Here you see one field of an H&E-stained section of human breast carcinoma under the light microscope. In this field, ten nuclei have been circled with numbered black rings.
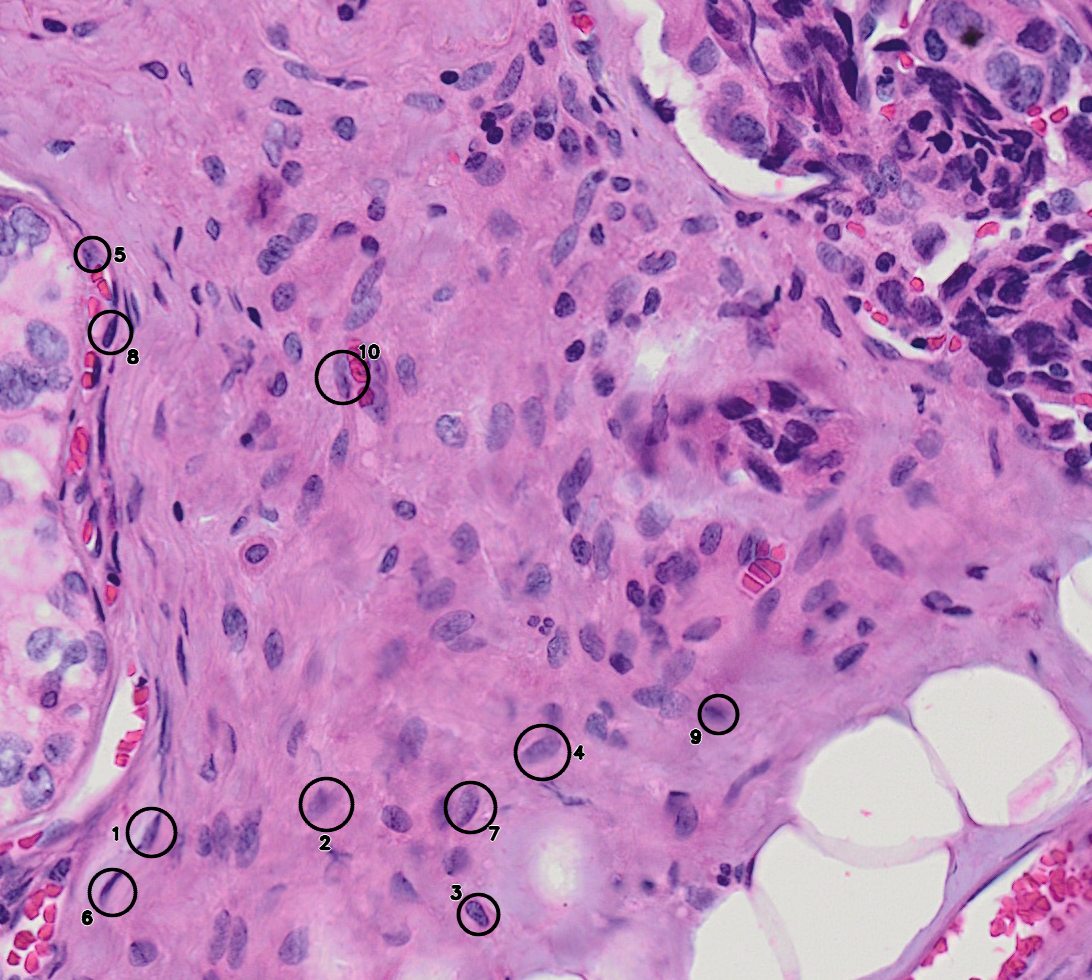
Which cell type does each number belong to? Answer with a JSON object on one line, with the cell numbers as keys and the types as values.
{"1": "fibroblast", "2": "fibroblast", "3": "mast cell", "4": "fibroblast", "5": "endothelial cell", "6": "fibroblast", "7": "fibroblast", "8": "endothelial cell", "9": "fibroblast", "10": "endothelial cell"}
